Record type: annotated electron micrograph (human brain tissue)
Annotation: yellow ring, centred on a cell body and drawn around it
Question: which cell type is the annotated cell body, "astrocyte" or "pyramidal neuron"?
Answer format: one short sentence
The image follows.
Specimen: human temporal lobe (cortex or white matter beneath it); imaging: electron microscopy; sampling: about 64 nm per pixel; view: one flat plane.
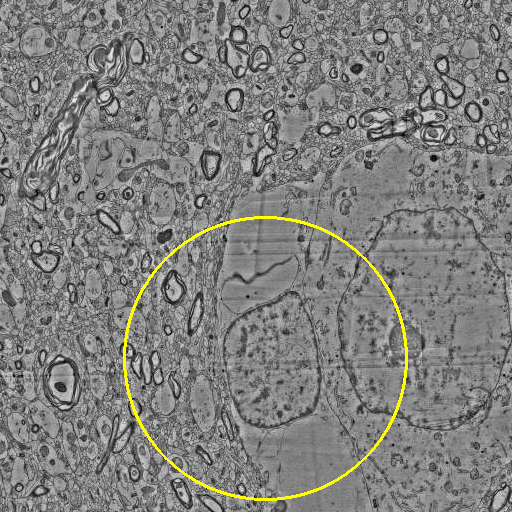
The annotated cell body is that of an astrocyte.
